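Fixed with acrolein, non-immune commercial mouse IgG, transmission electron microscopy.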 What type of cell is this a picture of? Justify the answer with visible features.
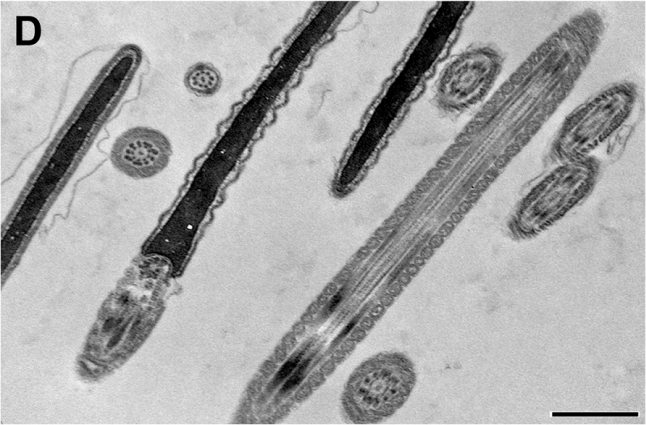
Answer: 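Elongated flattened heads with very dense uniform nuclei.
Spermatozoa.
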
